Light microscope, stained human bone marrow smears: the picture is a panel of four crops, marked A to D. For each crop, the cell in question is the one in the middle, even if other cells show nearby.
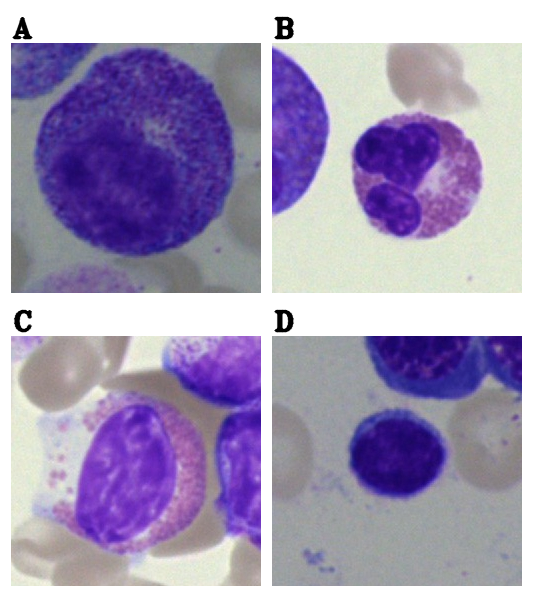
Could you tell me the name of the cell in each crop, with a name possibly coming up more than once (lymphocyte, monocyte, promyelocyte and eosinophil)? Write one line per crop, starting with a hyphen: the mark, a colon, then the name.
- A: promyelocyte
- B: eosinophil
- C: eosinophil
- D: lymphocyte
